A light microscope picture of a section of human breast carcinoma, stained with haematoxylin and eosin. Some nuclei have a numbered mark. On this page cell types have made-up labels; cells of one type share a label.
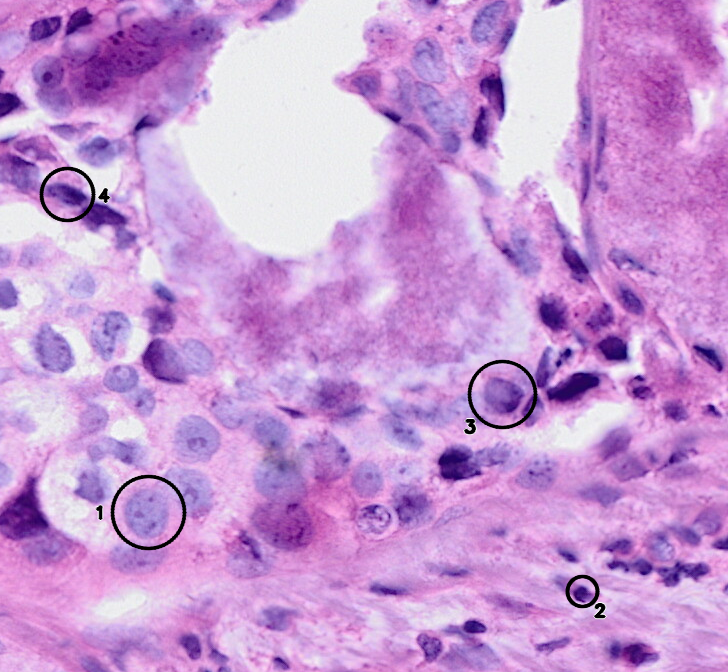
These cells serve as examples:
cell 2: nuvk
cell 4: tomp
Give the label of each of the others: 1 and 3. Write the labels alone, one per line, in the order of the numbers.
tomp
tomp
